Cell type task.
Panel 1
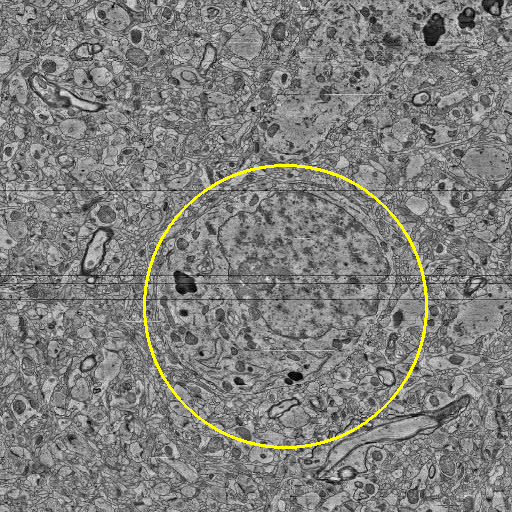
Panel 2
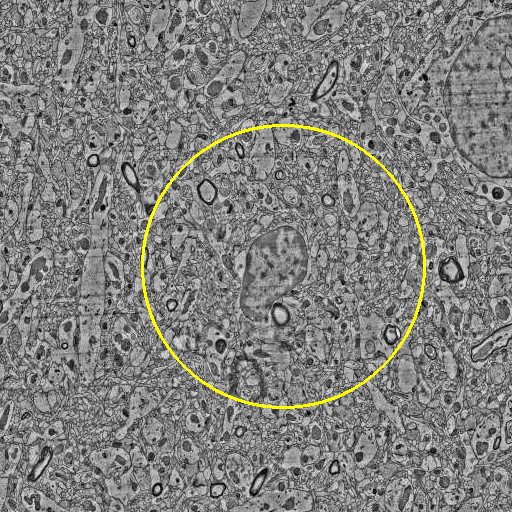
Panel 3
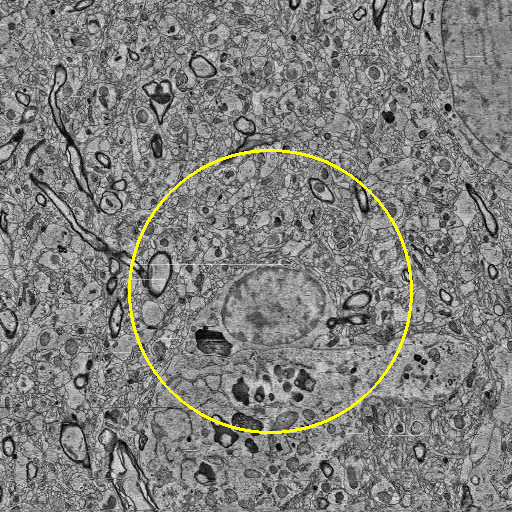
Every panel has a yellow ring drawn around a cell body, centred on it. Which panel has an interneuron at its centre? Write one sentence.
It sits at the centre of the ring in Panel 1.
